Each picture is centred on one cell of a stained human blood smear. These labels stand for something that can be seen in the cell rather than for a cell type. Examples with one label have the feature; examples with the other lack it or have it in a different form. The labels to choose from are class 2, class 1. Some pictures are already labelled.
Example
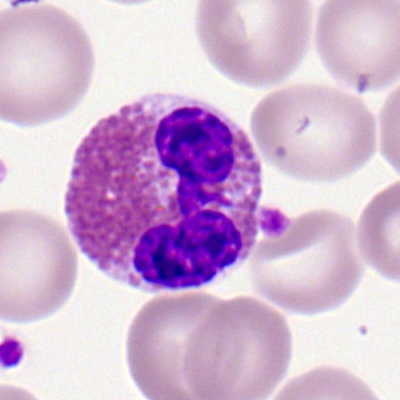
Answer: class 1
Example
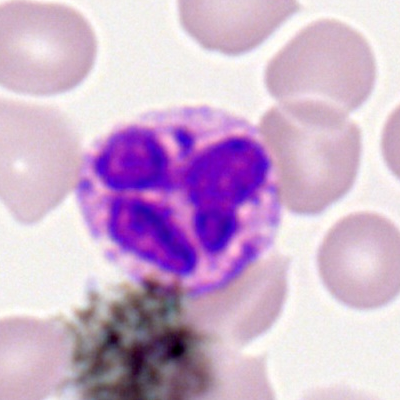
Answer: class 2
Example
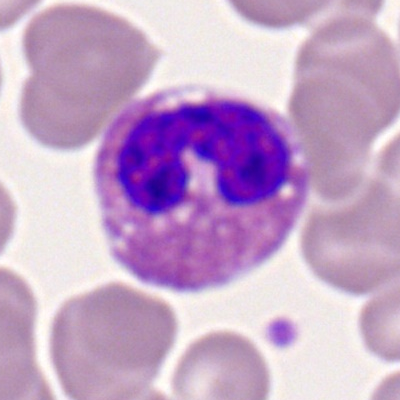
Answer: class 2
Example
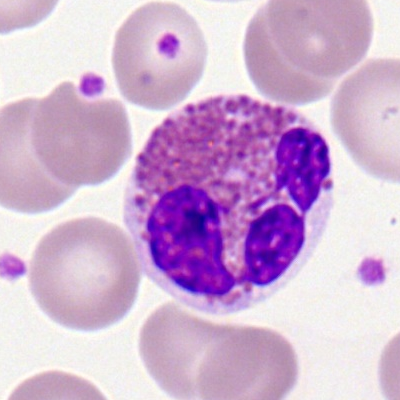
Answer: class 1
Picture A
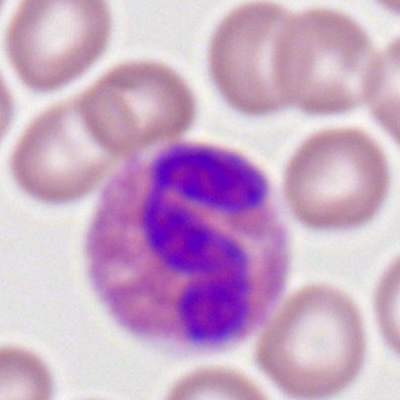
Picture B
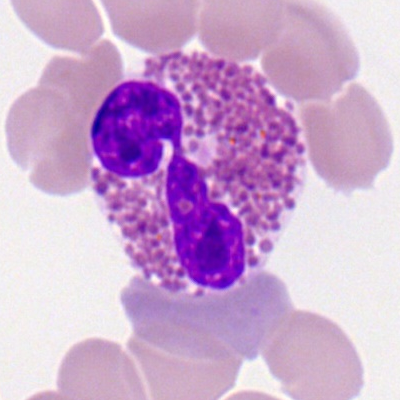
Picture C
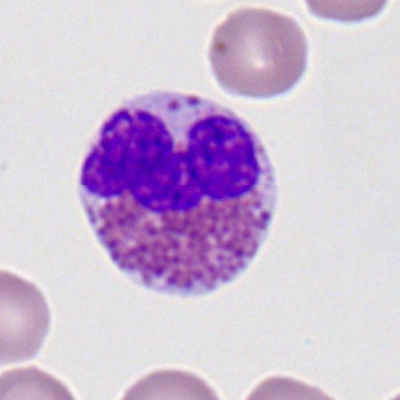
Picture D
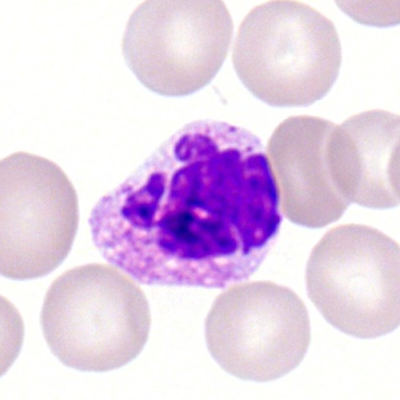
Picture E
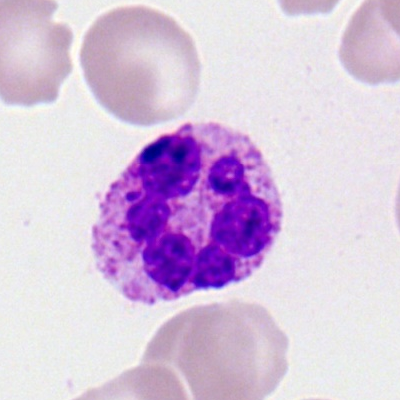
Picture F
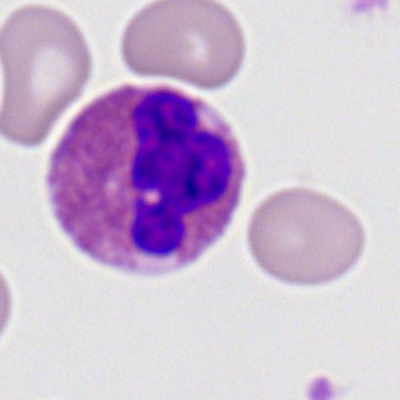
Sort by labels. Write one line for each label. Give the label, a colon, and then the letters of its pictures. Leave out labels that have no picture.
class 2: A, D, E, F
class 1: B, C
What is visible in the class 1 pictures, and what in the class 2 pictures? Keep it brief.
class 1, coarse or large granules; class 2, fine or small granules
